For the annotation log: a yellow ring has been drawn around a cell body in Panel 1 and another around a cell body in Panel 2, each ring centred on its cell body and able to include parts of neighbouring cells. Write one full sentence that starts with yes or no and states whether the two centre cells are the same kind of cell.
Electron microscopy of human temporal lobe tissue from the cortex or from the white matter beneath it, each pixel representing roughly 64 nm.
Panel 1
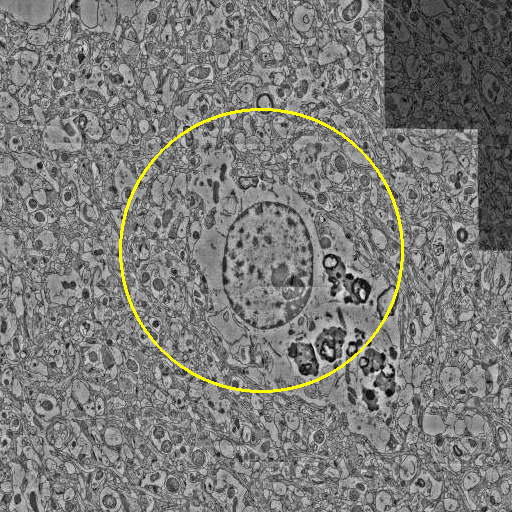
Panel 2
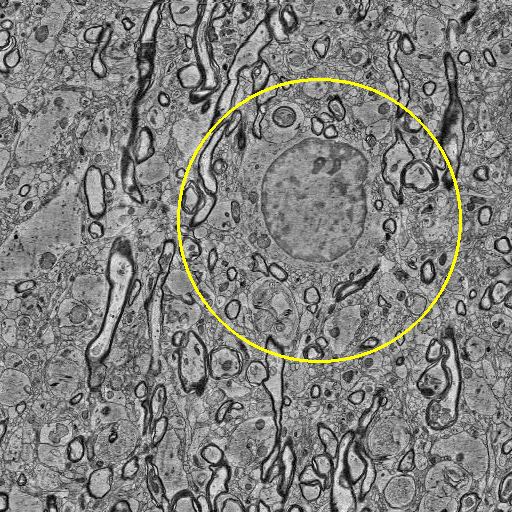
No, the two centre cells are two kinds of cell.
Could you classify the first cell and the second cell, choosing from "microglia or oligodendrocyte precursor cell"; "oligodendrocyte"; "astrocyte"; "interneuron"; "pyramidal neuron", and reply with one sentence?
The second cell is an oligodendrocyte, while the first is an astrocyte.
